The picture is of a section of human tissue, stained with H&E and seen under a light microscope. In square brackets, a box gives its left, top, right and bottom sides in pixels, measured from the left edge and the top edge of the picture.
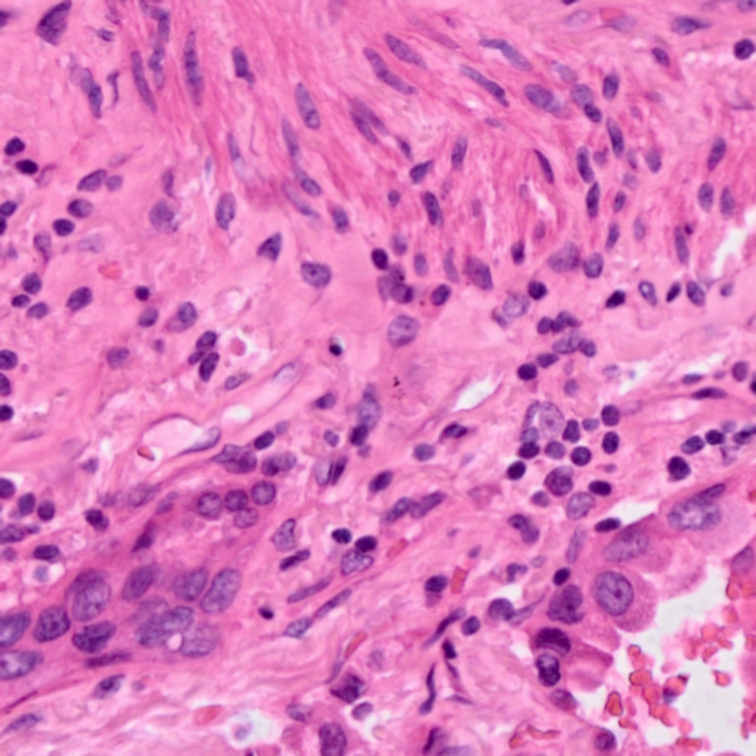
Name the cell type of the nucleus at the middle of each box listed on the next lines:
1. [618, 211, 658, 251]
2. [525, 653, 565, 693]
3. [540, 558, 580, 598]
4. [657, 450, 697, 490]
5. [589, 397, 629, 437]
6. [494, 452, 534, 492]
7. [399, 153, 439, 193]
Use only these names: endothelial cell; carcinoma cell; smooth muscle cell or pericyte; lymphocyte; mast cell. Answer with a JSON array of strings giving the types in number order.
["smooth muscle cell or pericyte", "carcinoma cell", "lymphocyte", "lymphocyte", "lymphocyte", "lymphocyte", "smooth muscle cell or pericyte"]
